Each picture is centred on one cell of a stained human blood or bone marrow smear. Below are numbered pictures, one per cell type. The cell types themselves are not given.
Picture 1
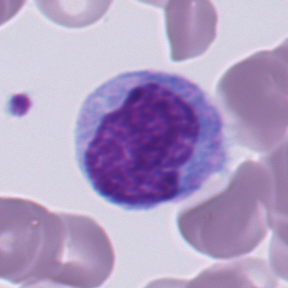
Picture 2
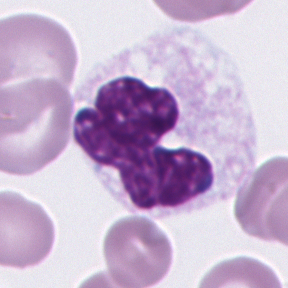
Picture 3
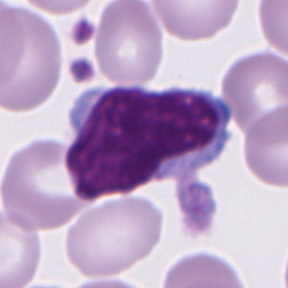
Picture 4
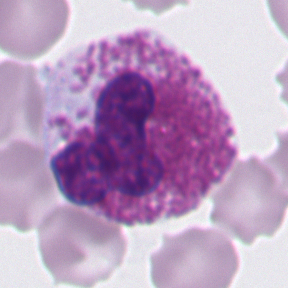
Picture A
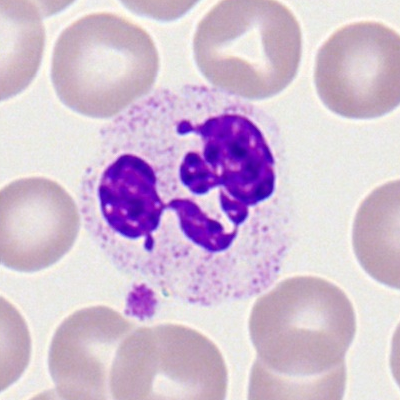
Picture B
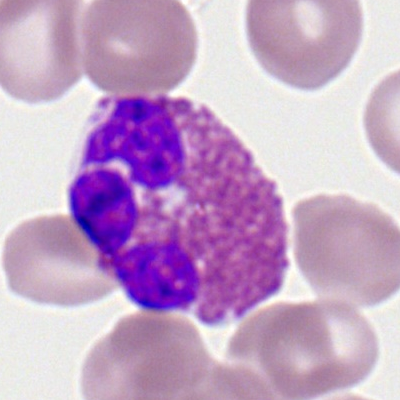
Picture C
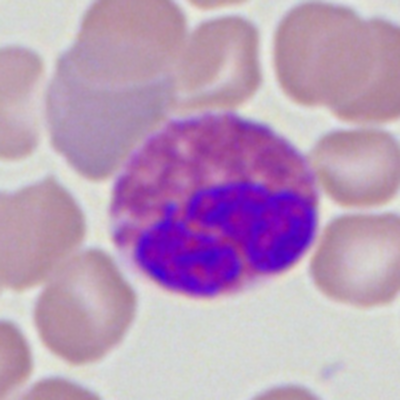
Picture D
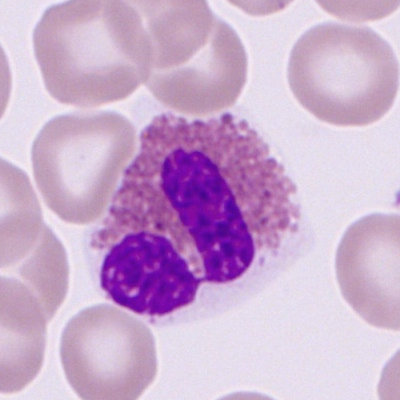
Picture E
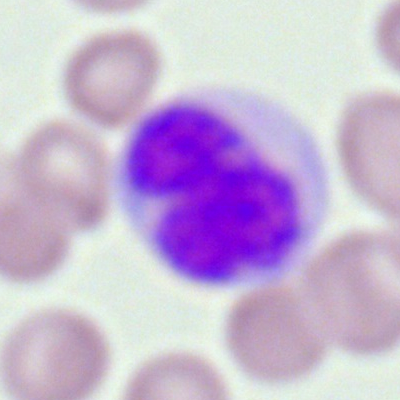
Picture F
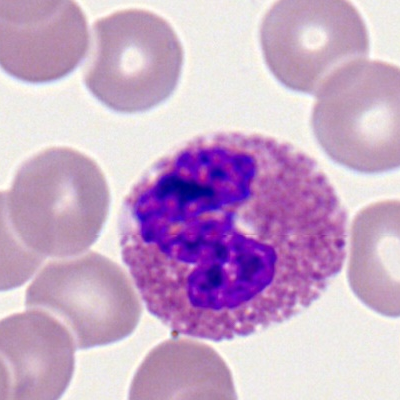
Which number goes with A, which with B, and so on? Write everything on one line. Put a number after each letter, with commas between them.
A 2, B 4, C 4, D 4, E 1, F 4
